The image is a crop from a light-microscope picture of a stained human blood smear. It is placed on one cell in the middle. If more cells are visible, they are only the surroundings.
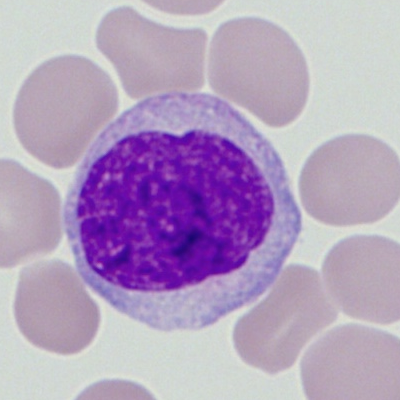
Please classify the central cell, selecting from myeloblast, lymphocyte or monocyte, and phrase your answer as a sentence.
The centered cell in this crop is a monocyte.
